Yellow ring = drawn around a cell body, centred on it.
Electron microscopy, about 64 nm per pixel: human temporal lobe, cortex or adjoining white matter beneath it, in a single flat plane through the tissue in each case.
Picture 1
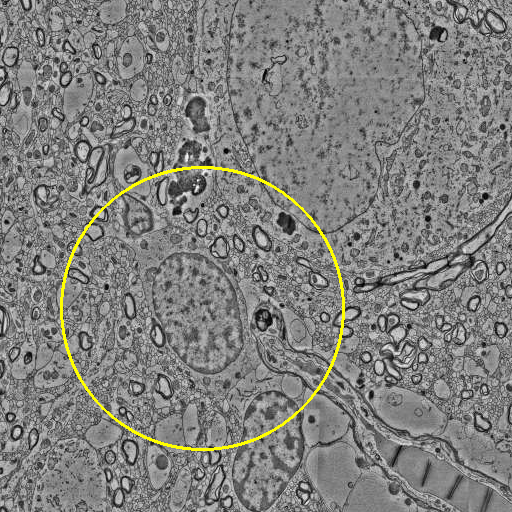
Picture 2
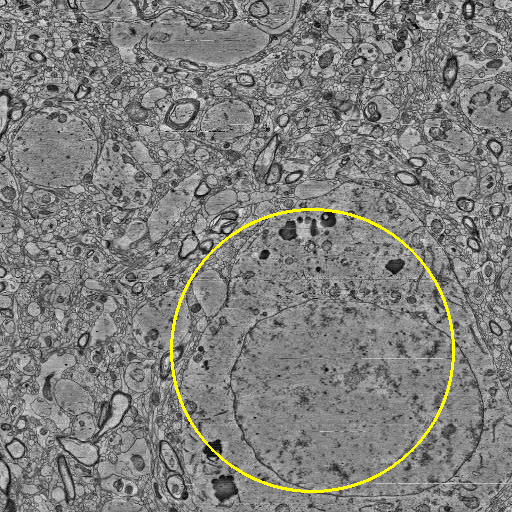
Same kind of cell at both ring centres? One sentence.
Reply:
No, they are two kinds of cell.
